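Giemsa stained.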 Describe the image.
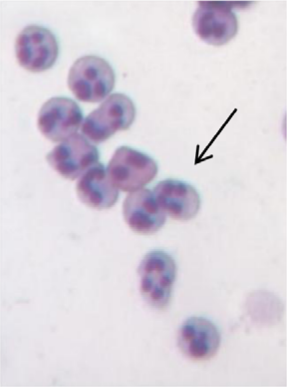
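Cytospin of neutrophils, most with nuclei divided into three or four purple lobes joined by thin strands. The cytoplasm is pale pink-lilac and fine, and the cells lie in a loose cluster, some touching one another.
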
